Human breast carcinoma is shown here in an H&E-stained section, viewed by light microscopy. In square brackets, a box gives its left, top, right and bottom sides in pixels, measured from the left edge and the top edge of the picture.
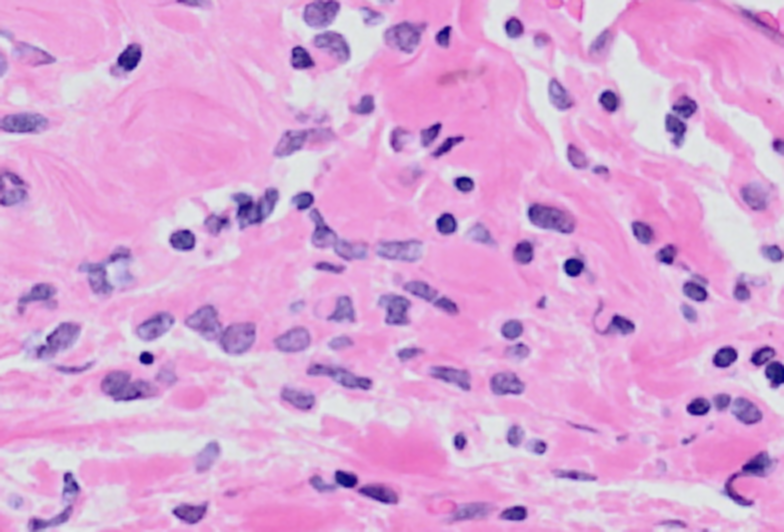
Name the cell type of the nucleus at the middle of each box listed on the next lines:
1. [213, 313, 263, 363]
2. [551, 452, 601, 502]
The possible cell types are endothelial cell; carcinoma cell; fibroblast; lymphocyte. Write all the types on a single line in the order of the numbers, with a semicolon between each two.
carcinoma cell; fibroblast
